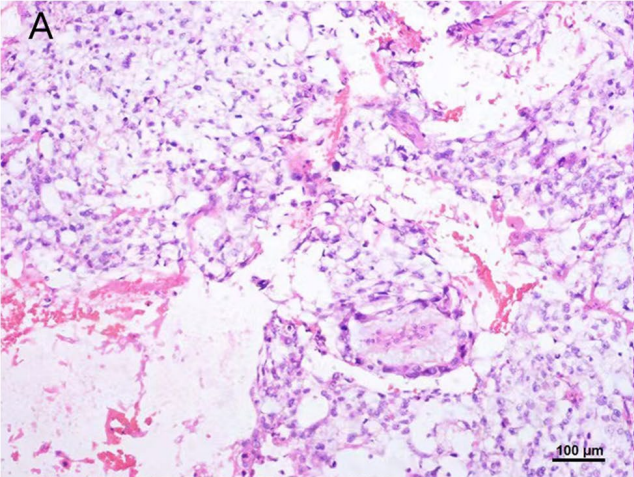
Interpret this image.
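This is a tumor whose cells lie in a loose, pale myxoid stroma, arranged in sheets and around many small clear cystic spaces. The tumor cells have rounded to oval purple nuclei and pale, often clear or vacuolated cytoplasm. Thin pink strands and scattered red blood cells run between the cell groups, and a rounded cluster of cells surrounds a central pink core near the middle of the field.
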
